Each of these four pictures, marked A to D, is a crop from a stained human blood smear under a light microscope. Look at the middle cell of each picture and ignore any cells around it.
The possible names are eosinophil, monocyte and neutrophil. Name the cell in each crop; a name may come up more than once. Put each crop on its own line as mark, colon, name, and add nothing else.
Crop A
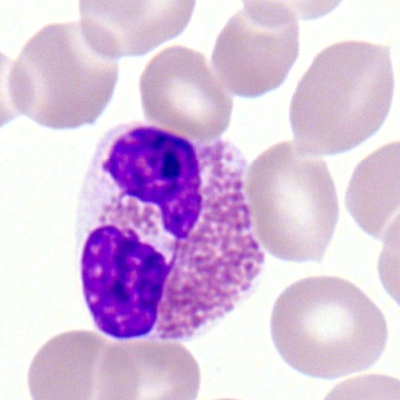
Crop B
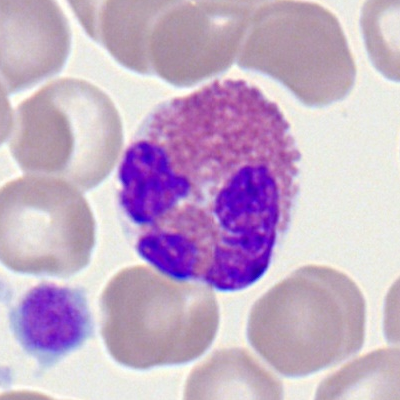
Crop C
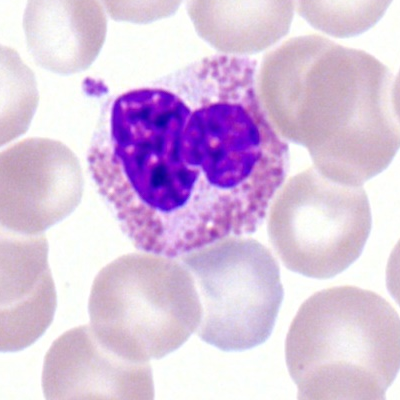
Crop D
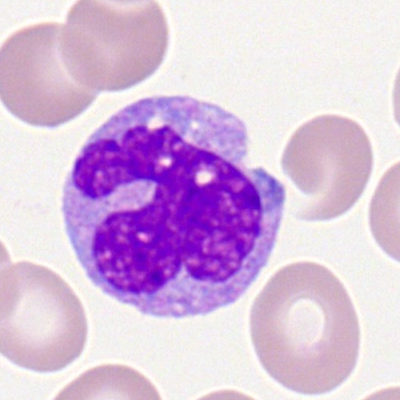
A: eosinophil
B: eosinophil
C: eosinophil
D: monocyte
